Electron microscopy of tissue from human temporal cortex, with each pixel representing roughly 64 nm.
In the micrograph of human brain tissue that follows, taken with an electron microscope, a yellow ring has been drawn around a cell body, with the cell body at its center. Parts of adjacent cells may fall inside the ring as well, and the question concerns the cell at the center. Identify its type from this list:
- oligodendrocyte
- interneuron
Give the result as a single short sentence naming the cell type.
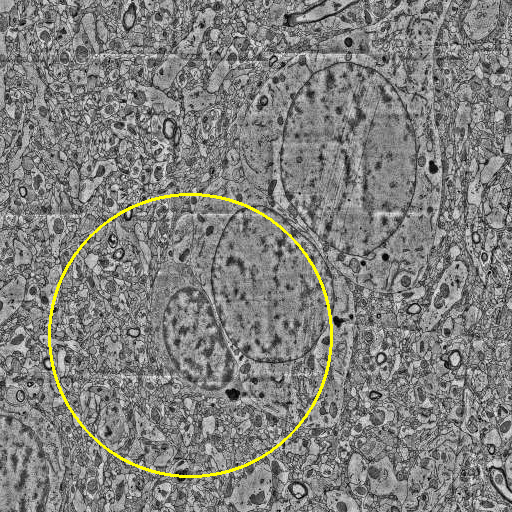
The ring is centered on an oligodendrocyte.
